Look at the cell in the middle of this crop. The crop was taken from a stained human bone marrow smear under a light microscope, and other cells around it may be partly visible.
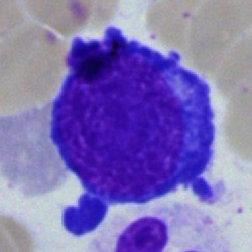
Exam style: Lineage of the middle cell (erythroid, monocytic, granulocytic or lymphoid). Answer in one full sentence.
Lineage-wise, the cell in the center of the crop is erythroid.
